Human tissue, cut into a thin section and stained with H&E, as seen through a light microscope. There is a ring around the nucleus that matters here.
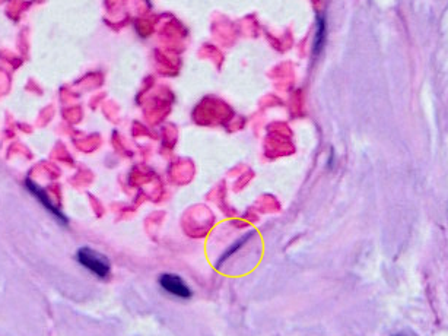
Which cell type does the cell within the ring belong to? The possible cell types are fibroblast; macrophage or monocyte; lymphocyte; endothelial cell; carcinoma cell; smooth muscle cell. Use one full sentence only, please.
In short, the cell within the ring on this section is an endothelial cell.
